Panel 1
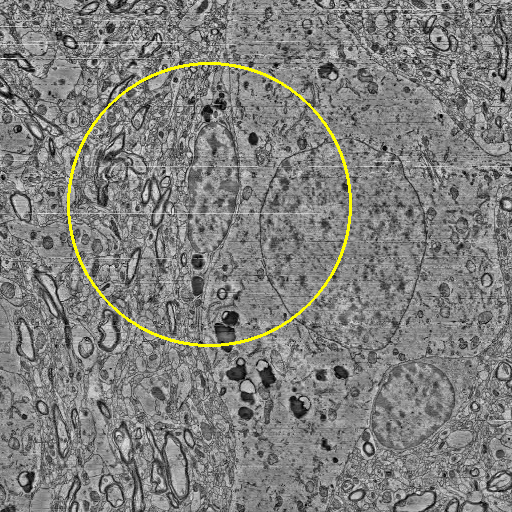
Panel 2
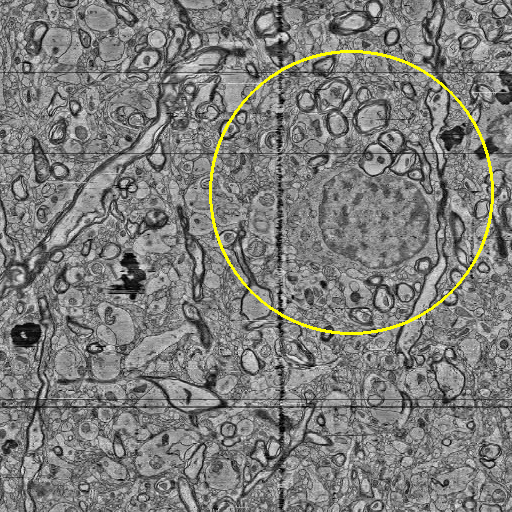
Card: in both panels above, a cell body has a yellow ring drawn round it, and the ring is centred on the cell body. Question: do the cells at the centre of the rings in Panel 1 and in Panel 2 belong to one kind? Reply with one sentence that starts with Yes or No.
No, the cells centred in the rings of Panel 1 and Panel 2 are two kinds of cell.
